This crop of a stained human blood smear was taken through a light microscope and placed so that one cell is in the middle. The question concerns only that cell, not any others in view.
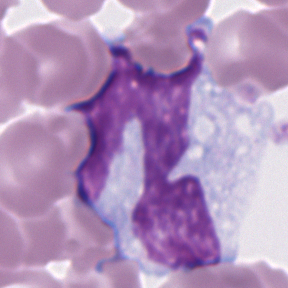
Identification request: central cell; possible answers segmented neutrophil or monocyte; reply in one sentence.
Classified as a monocyte is the cell in the middle of this crop.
